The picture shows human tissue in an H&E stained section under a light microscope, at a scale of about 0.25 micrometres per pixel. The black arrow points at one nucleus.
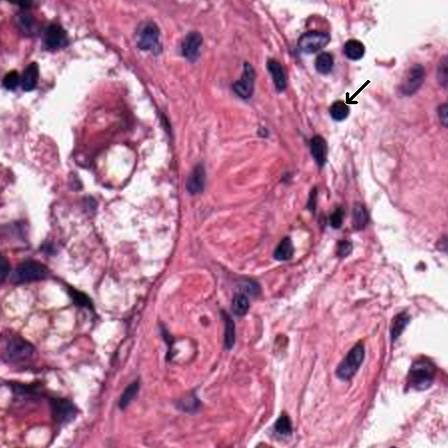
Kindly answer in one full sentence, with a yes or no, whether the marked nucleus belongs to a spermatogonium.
No, the marked nucleus is not housed in a spermatogonium but in a supporting cell.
